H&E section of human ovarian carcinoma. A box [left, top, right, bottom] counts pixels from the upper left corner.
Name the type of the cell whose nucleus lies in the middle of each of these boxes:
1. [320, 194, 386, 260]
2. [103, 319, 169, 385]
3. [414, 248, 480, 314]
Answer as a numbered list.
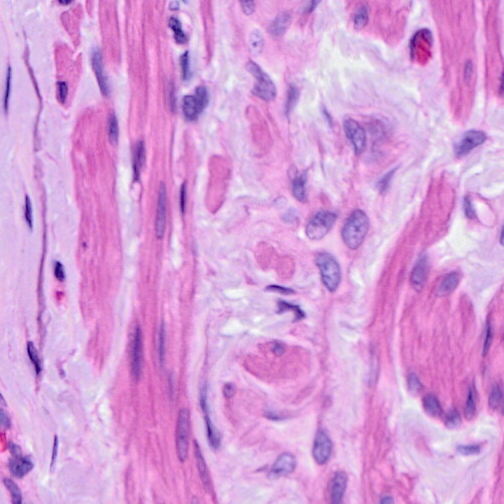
1. endothelial cell
2. smooth muscle cell
3. smooth muscle cell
